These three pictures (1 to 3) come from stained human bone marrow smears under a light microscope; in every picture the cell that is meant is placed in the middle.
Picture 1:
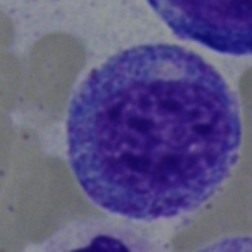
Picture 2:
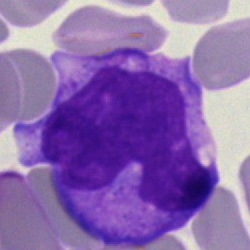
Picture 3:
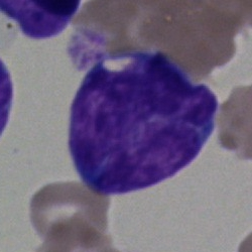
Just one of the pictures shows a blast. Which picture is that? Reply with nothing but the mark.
3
